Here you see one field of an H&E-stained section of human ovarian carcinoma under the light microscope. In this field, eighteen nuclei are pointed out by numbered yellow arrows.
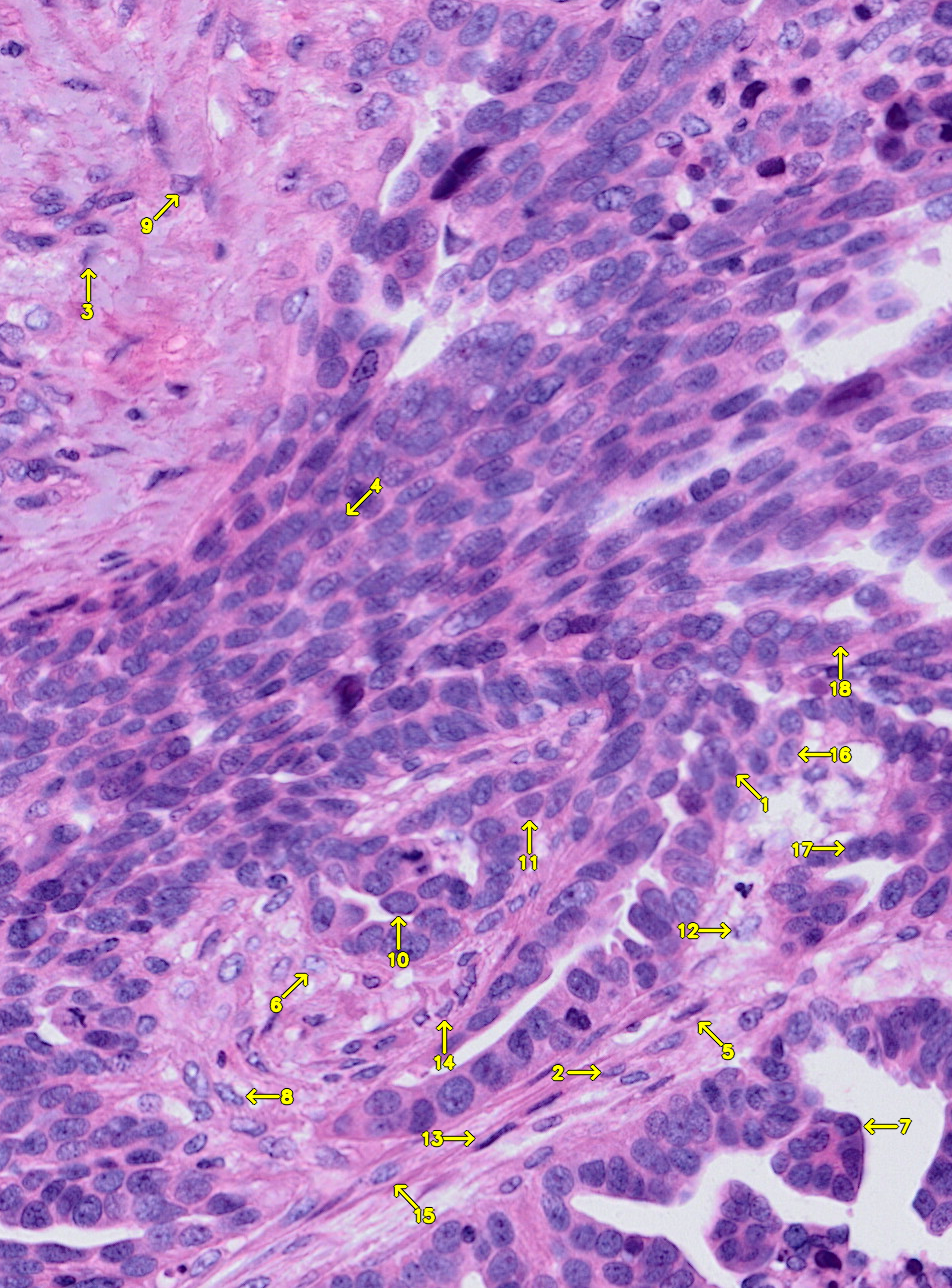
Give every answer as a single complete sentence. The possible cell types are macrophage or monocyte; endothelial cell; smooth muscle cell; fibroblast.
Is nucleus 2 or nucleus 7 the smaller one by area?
It is nucleus 2; nucleus 7 has about 2.5 times its area.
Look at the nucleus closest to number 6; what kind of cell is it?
The nearest nucleus to number 6 belongs to a fibroblast.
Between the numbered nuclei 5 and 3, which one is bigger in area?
At about 1.5 times the area of nucleus 3, nucleus 5 is the larger of the two.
